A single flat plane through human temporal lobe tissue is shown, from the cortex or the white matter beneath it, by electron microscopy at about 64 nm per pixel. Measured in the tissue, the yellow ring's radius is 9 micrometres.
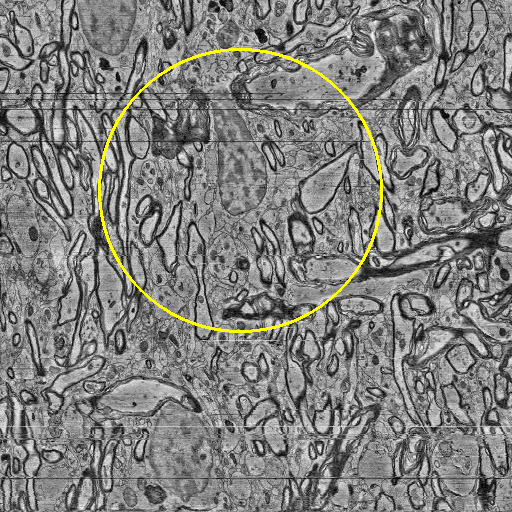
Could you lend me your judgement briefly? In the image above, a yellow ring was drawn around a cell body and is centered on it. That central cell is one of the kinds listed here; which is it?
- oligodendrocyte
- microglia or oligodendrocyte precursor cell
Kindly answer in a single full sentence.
Going by the list, a microglial cell or oligodendrocyte precursor cell is the kind at the ring's center in the picture.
